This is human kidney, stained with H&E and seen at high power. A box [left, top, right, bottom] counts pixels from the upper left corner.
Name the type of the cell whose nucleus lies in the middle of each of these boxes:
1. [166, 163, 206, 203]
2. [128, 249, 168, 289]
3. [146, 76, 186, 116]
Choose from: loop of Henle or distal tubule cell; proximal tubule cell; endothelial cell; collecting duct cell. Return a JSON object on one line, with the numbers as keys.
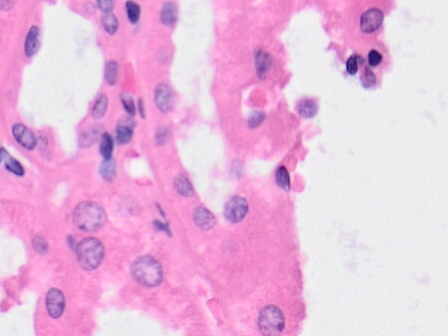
{"1": "loop of Henle or distal tubule cell", "2": "proximal tubule cell", "3": "loop of Henle or distal tubule cell"}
